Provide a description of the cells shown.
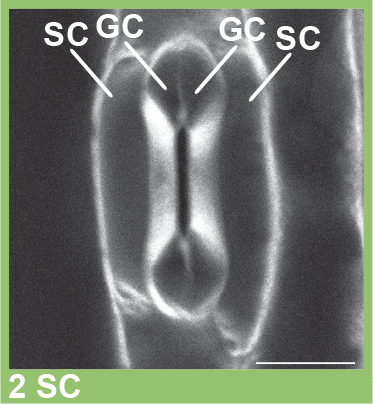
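A mature stomatal complex of a grass leaf epidermis with cell walls outlined in bright white on a dark background. Two narrow guard cells with bulbous ends form a dumbbell-shaped pair enclosing a central slit-like pore, and each is flanked by a crescent-shaped subsidiary cell. Large elongated epidermal cells lie on either side of the complex.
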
